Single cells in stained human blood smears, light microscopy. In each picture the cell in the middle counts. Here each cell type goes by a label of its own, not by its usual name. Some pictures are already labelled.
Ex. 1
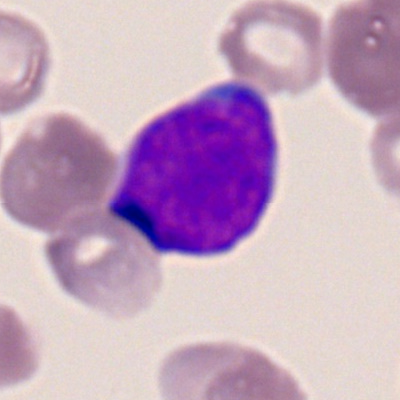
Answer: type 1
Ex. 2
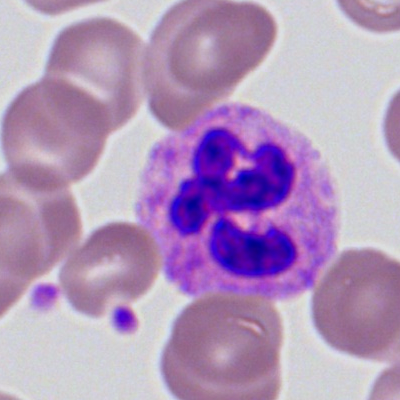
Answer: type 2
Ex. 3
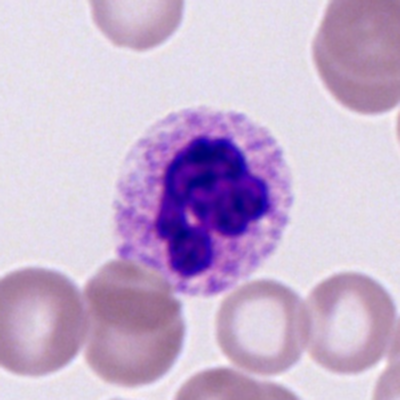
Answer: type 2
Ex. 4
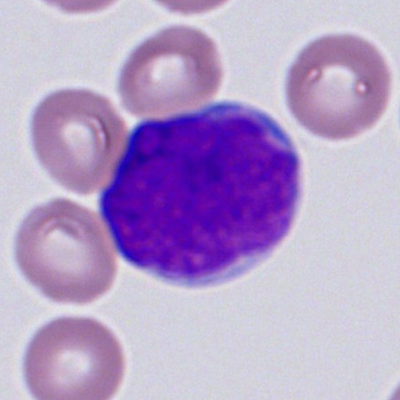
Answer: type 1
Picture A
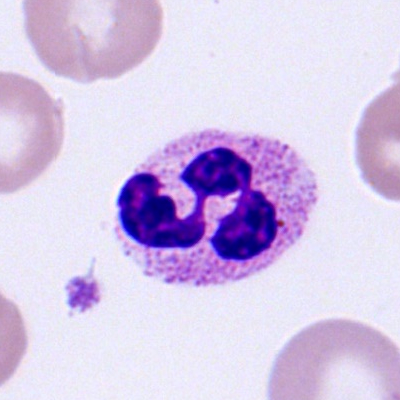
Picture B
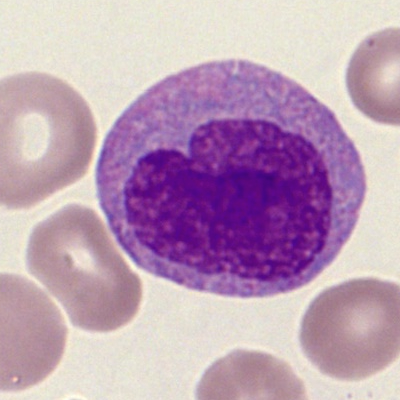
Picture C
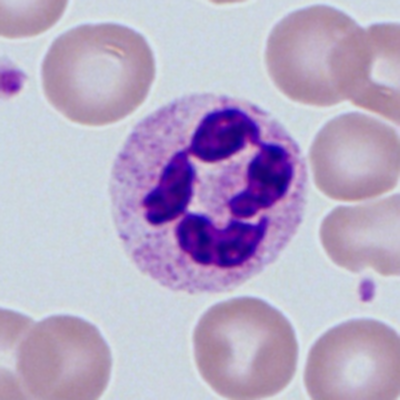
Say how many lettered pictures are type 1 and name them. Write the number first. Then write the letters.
Count: 1 (B)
